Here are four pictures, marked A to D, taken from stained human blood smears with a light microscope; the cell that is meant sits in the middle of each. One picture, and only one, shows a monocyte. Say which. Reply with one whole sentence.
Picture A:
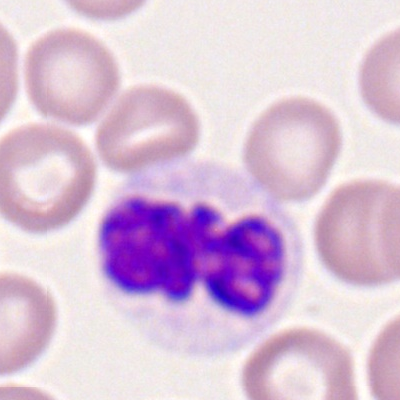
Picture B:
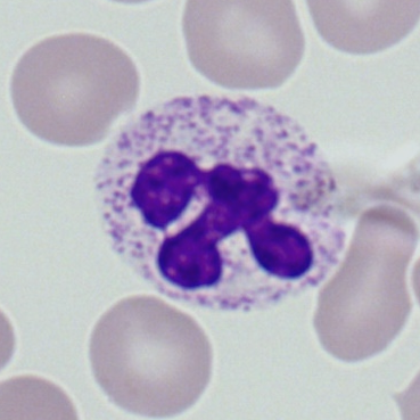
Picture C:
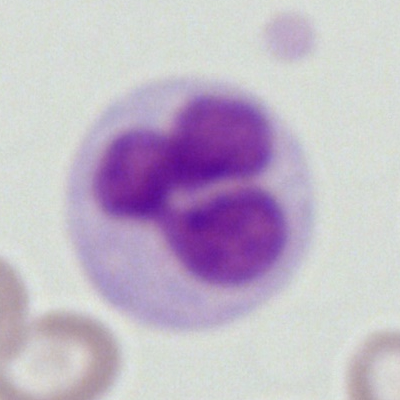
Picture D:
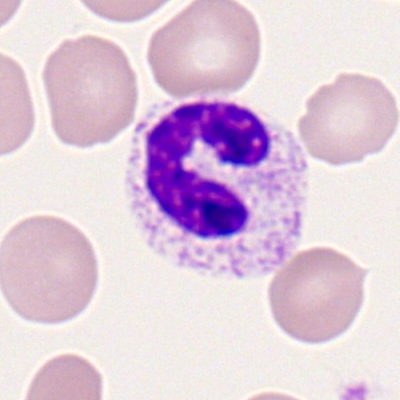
The picture with the monocyte is C.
